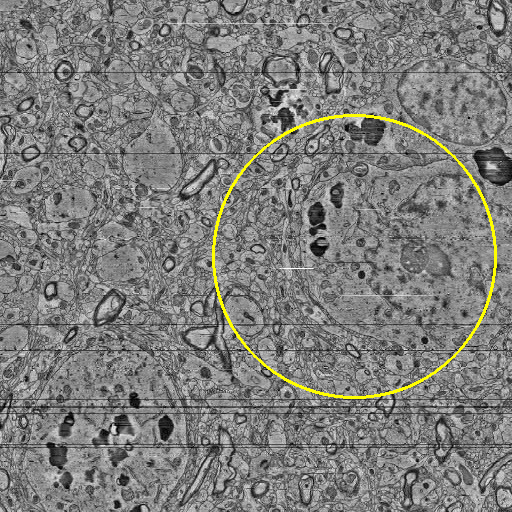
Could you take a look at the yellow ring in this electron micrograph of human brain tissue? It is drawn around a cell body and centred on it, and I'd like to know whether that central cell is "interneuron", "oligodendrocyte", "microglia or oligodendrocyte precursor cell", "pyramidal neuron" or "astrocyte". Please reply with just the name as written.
interneuron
